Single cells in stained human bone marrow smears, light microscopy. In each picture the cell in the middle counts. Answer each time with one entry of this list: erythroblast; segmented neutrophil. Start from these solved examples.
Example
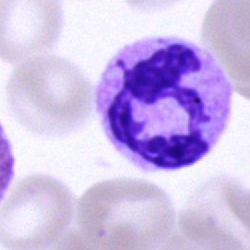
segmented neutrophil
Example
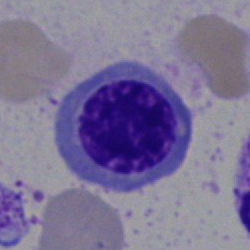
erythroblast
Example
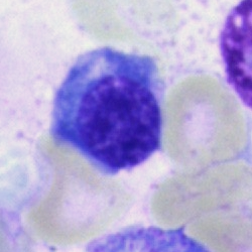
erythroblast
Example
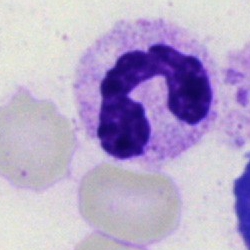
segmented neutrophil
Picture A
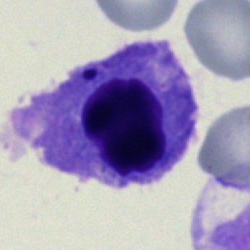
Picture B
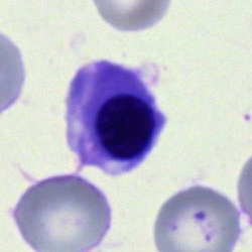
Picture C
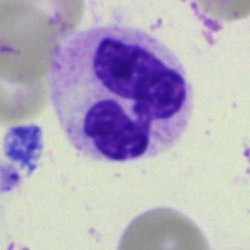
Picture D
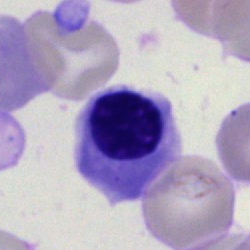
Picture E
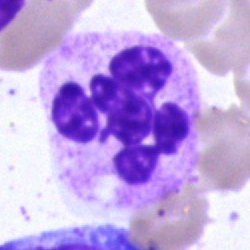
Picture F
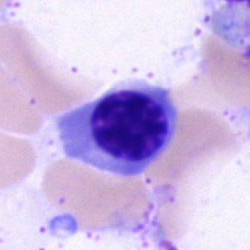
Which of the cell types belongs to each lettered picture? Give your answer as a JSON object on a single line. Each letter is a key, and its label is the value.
{"A": "erythroblast", "B": "erythroblast", "C": "segmented neutrophil", "D": "erythroblast", "E": "segmented neutrophil", "F": "erythroblast"}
